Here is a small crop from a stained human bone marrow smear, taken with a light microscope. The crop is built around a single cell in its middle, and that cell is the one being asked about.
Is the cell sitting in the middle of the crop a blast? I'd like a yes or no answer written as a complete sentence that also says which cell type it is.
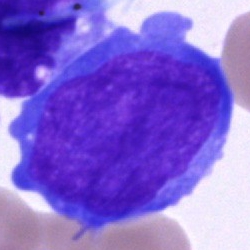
Yes, centred in the crop is a blast.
